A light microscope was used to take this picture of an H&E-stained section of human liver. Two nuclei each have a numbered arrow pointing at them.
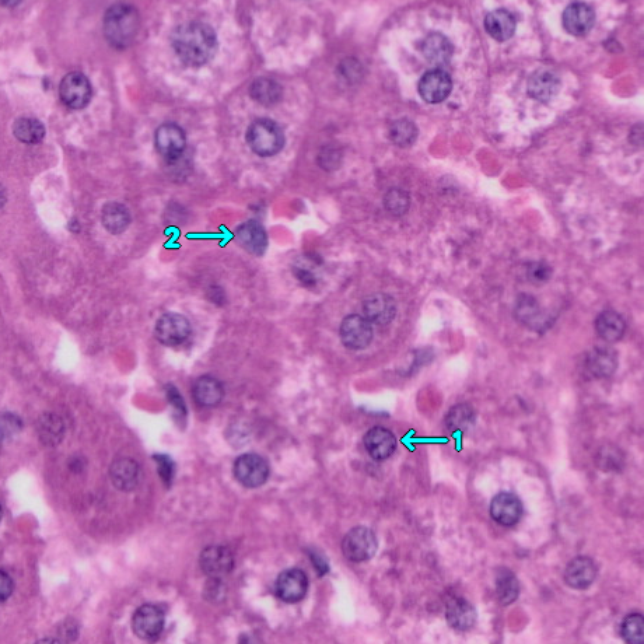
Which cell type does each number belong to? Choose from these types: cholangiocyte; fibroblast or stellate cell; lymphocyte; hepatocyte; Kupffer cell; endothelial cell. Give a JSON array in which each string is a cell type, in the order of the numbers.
["hepatocyte", "endothelial cell"]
